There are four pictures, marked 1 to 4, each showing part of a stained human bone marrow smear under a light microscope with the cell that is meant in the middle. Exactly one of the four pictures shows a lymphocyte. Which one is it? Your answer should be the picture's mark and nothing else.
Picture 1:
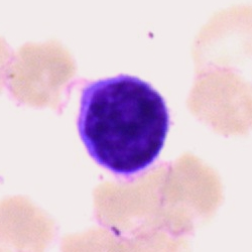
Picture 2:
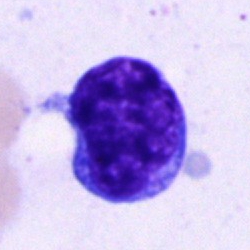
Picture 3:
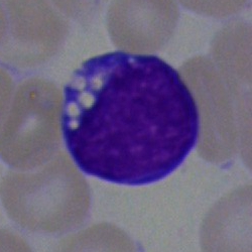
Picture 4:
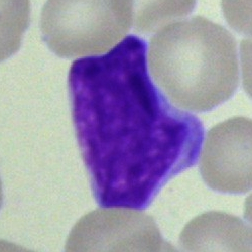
1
